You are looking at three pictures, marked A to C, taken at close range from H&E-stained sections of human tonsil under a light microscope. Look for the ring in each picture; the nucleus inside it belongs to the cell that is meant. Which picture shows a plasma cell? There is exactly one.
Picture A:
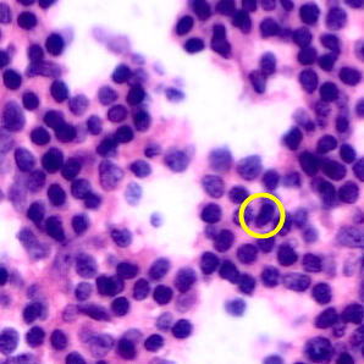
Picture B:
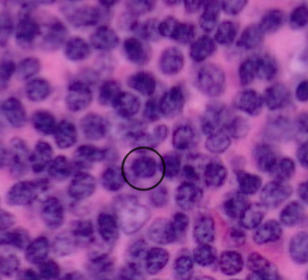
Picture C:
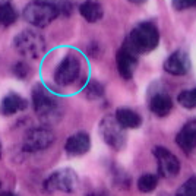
C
